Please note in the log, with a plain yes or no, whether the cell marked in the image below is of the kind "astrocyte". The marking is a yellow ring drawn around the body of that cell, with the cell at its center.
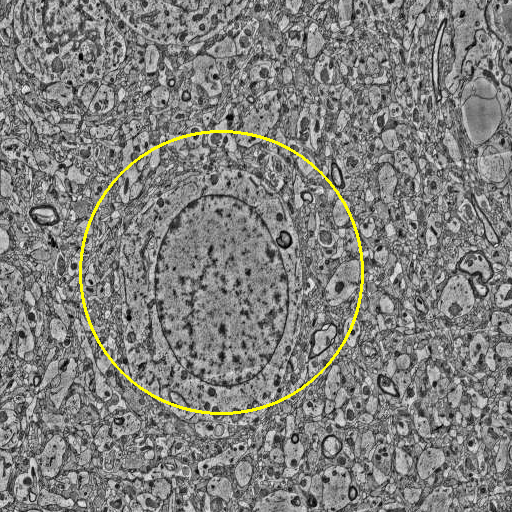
no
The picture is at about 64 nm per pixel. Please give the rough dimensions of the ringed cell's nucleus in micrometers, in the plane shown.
In this plane the nucleus is about 12 micrometres by 9.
